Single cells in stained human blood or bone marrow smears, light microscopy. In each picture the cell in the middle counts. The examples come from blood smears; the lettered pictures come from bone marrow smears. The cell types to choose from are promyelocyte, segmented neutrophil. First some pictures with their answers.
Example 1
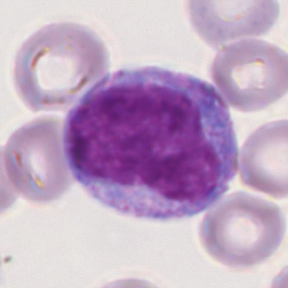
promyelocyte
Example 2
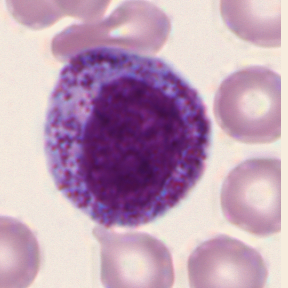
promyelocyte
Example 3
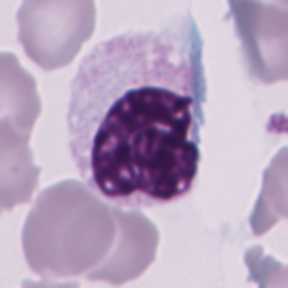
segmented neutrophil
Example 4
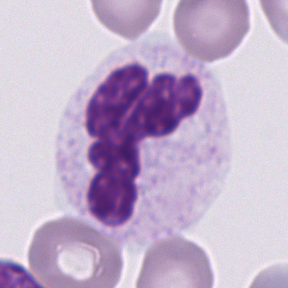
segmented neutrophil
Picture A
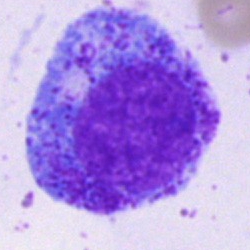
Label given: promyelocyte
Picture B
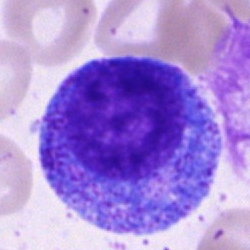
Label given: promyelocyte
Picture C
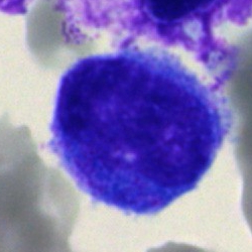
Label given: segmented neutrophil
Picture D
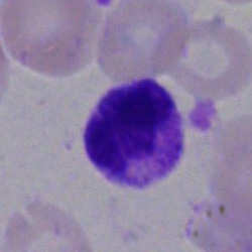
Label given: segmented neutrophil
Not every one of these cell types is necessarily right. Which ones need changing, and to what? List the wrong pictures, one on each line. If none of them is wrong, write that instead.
C: promyelocyte, not segmented neutrophil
